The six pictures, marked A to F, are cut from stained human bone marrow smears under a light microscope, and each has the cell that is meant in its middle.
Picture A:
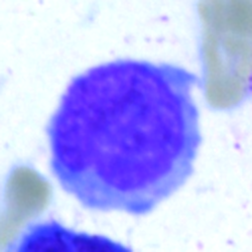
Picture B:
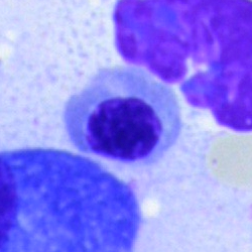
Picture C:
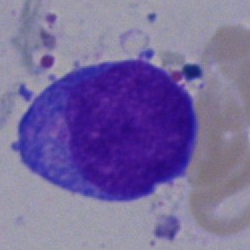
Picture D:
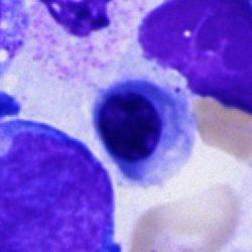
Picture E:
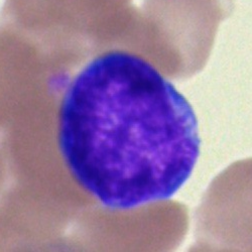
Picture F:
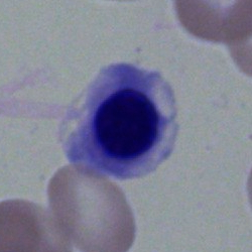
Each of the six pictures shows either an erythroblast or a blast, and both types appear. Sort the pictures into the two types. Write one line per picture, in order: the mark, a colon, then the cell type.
A: blast
B: erythroblast
C: blast
D: erythroblast
E: blast
F: erythroblast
